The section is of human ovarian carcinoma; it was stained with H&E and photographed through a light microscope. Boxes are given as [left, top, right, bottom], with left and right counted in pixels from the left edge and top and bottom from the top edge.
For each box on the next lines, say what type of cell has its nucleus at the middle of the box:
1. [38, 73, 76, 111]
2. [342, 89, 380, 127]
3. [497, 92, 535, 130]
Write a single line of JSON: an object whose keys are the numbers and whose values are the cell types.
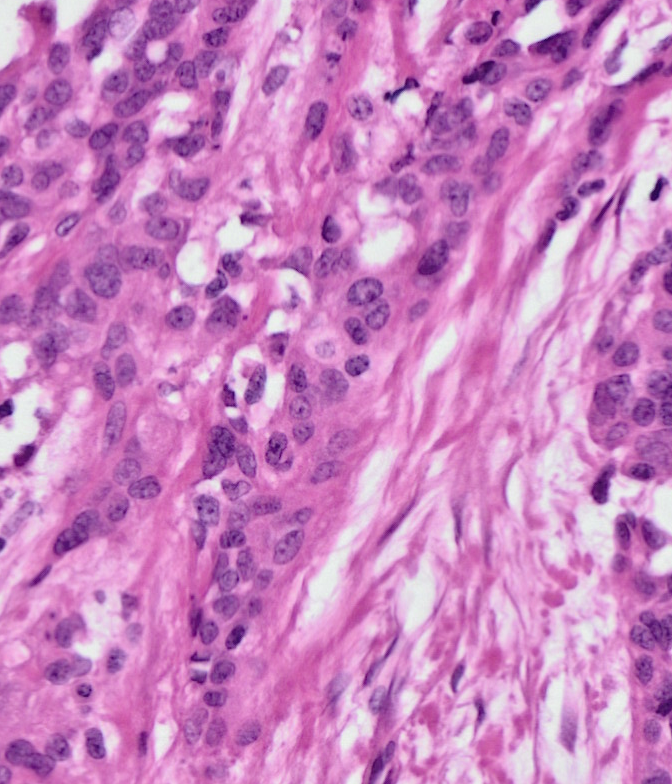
{"1": "carcinoma cell", "2": "macrophage or monocyte", "3": "macrophage or monocyte"}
